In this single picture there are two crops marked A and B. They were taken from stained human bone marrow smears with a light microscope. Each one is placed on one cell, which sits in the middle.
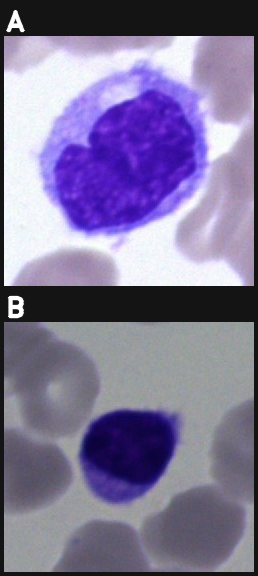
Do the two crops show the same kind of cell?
no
